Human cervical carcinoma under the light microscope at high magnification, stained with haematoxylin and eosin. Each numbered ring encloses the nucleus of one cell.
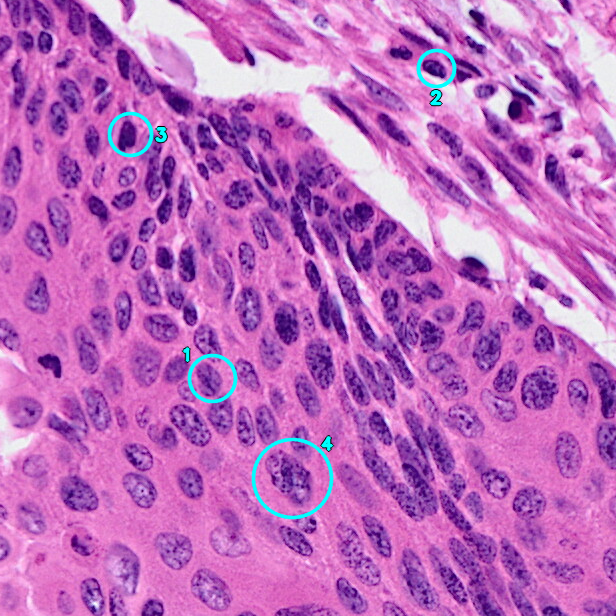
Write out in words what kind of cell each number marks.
Cells 1, 3 and 4 are squamous carcinoma cells. Cell 2 is a lymphocyte.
